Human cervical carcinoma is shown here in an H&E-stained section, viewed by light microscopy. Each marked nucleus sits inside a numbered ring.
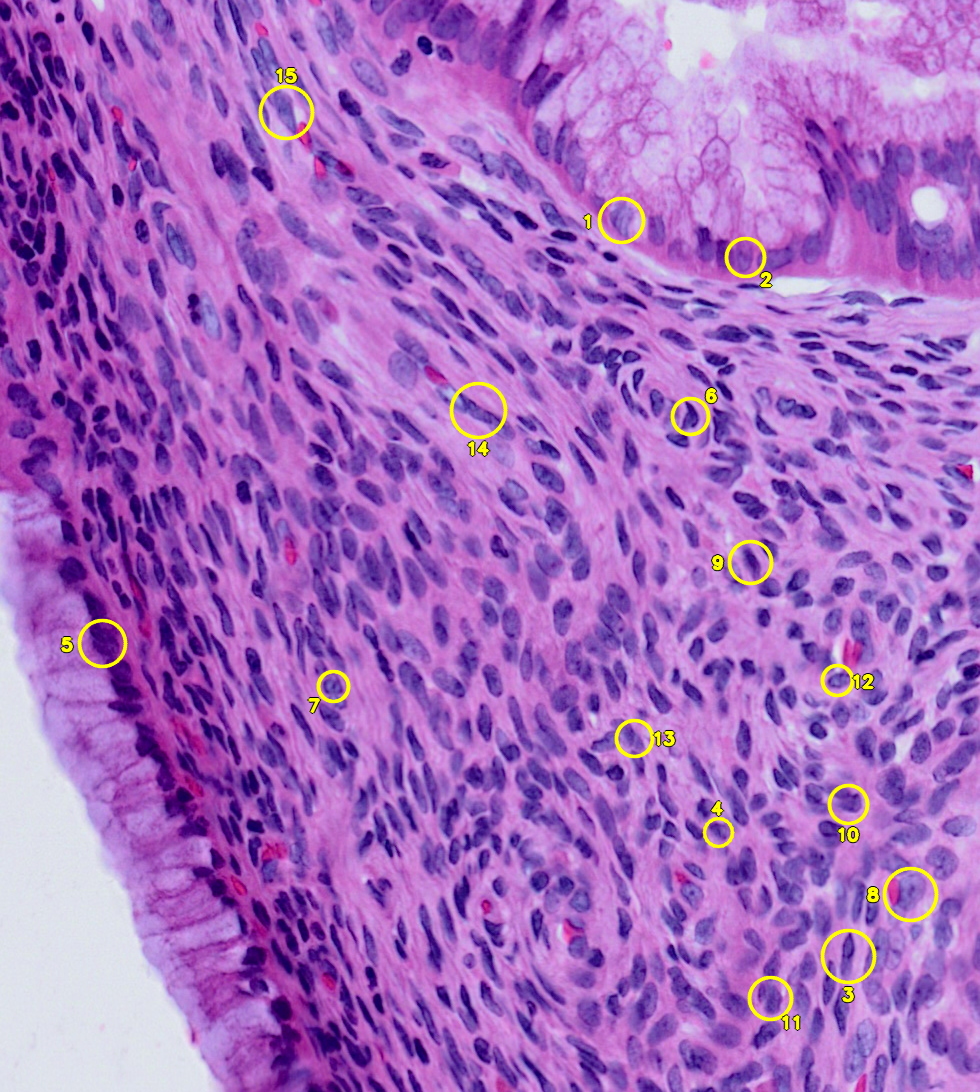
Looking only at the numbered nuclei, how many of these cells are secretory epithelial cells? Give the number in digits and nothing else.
3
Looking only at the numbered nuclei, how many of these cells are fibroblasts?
7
